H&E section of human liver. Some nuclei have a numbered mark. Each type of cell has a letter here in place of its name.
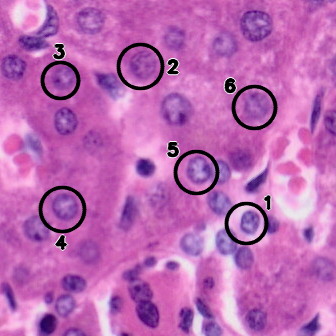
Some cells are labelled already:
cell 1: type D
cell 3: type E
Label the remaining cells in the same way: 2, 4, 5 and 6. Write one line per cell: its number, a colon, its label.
2: type E
4: type E
5: type D
6: type E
